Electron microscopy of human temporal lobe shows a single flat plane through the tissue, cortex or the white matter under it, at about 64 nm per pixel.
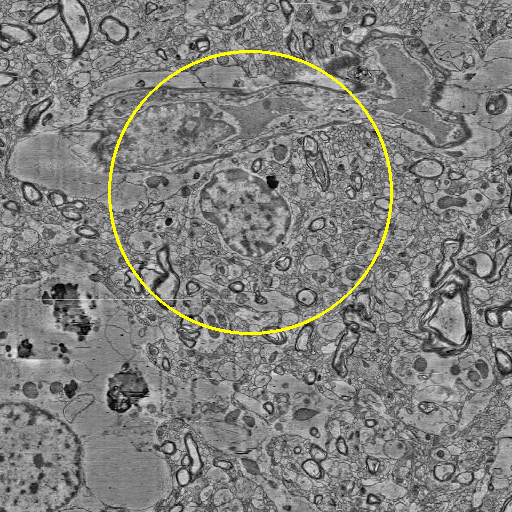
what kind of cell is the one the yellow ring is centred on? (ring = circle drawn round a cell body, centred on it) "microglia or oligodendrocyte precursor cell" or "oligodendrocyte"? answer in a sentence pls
The ring is drawn around a microglial cell or oligodendrocyte precursor cell.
